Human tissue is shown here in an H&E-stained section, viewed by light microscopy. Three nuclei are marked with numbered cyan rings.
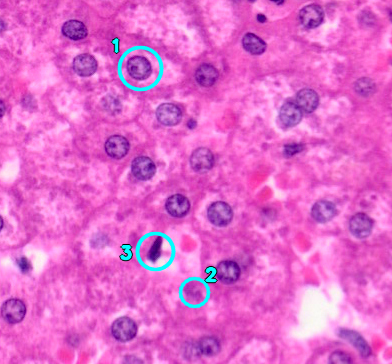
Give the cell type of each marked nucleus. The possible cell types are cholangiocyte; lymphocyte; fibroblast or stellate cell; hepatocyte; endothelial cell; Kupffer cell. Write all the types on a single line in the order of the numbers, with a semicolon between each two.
hepatocyte; hepatocyte; endothelial cell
